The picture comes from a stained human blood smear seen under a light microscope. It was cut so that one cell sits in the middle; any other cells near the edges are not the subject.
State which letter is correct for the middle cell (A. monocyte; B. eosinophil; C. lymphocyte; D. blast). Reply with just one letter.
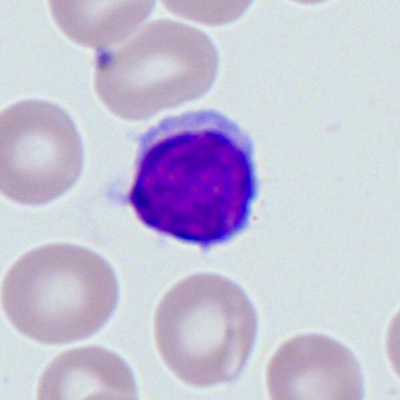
C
